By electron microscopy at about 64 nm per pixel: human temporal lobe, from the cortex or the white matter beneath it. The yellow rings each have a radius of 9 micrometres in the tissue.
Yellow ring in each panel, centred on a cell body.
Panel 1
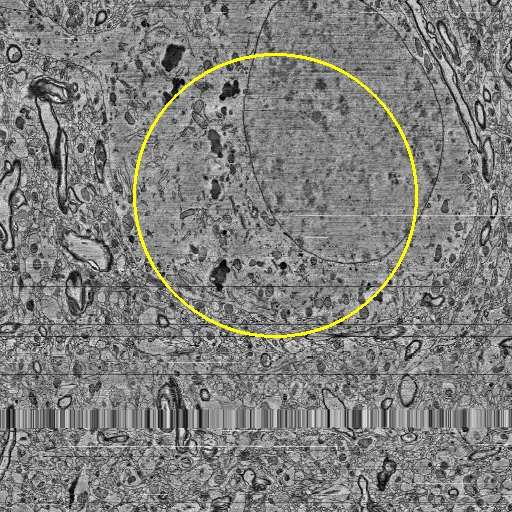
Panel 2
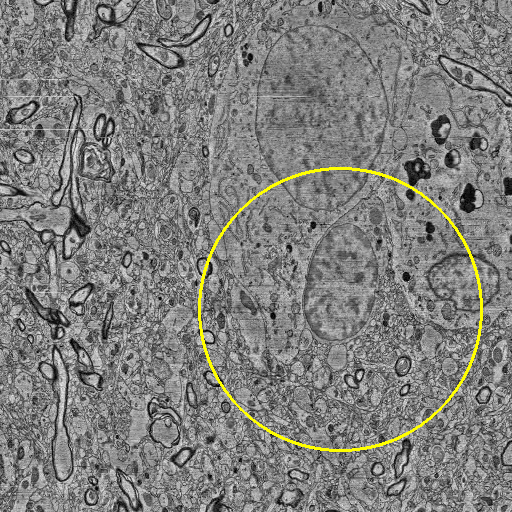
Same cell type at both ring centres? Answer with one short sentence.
No, the two cells are of two types.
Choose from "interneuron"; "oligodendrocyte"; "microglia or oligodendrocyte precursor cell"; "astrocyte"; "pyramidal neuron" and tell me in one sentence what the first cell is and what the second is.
What the first ring is centred on is a pyramidal neuron; what the second ring is centred on is an oligodendrocyte.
